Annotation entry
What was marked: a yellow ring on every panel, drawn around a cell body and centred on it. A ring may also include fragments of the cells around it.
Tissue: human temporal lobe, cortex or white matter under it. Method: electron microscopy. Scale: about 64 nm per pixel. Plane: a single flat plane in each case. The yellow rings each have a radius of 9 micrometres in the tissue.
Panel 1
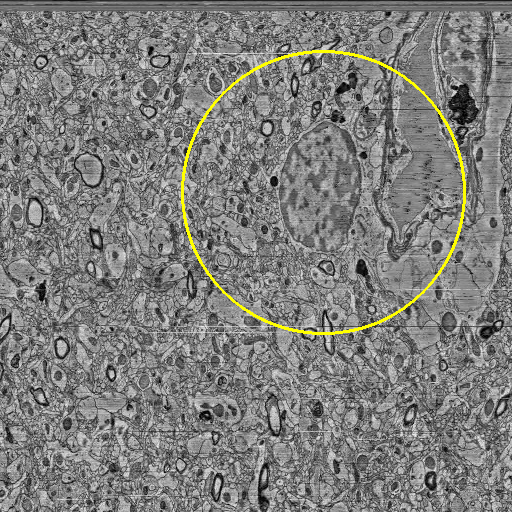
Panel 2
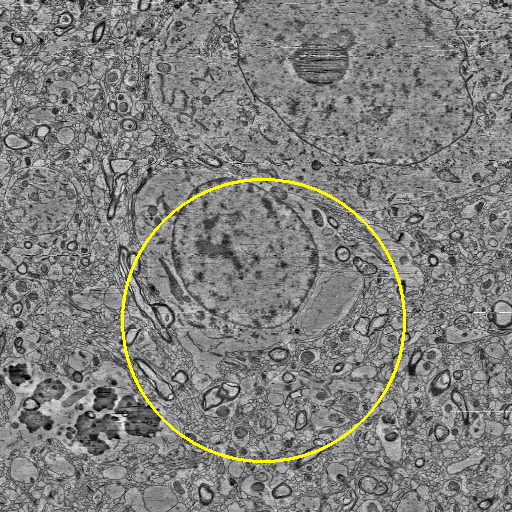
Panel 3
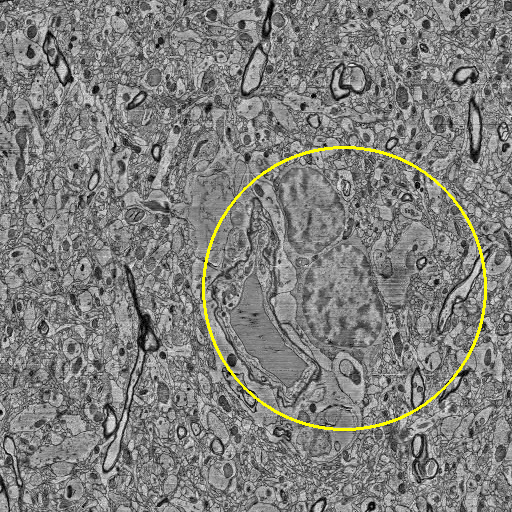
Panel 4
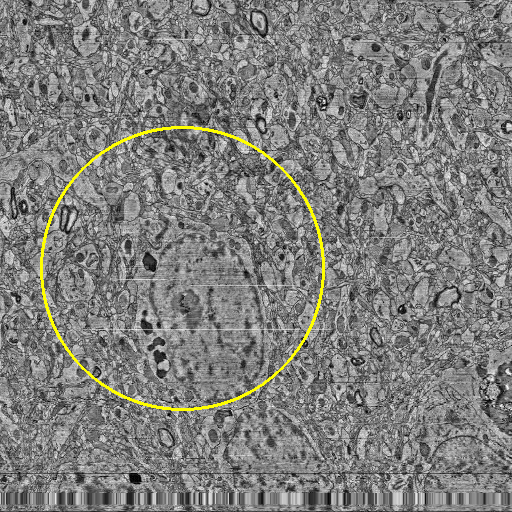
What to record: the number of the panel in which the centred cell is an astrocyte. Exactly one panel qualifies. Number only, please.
2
